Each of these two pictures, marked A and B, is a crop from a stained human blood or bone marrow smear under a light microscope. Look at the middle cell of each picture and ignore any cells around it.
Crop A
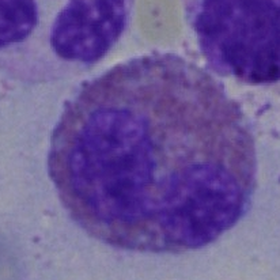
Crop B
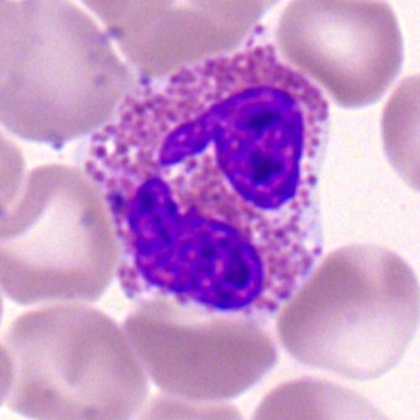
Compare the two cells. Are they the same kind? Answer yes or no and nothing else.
yes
